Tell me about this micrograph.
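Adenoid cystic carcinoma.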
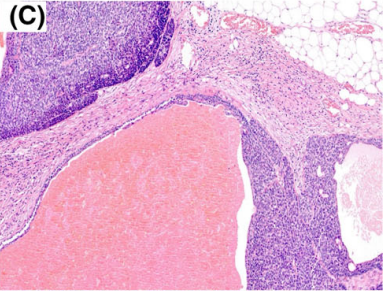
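Here nests of tumour made of dark purple, densely packed small cells sit in a pink fibrous stroma. One nest at the top is outlined by a darker rim of cells. A large space in the lower part is filled with homogeneous pink material, and another clear space with pale debris lies at the right. White fat cells are seen at the upper right beyond the fibrous tissue.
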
